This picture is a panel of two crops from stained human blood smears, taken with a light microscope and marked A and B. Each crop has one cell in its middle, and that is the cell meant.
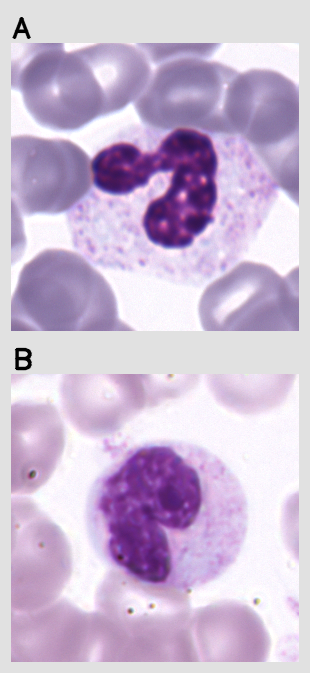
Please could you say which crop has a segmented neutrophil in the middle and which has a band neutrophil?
A: segmented neutrophil
B: band neutrophil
